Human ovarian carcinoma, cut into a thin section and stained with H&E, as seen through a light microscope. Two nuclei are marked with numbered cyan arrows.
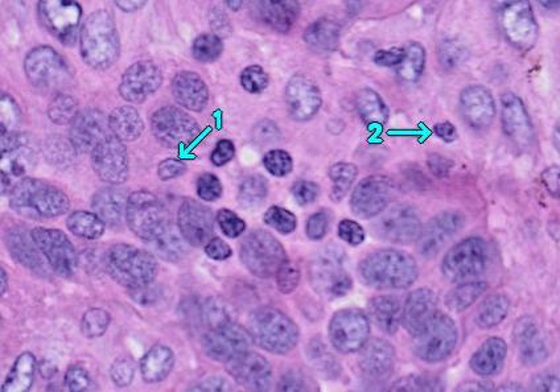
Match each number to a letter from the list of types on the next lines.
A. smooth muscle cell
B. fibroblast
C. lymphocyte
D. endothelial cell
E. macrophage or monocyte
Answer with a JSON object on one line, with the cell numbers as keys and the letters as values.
{"1": "E", "2": "C"}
